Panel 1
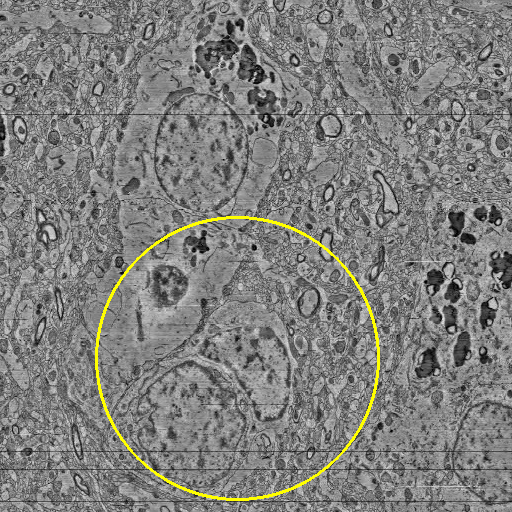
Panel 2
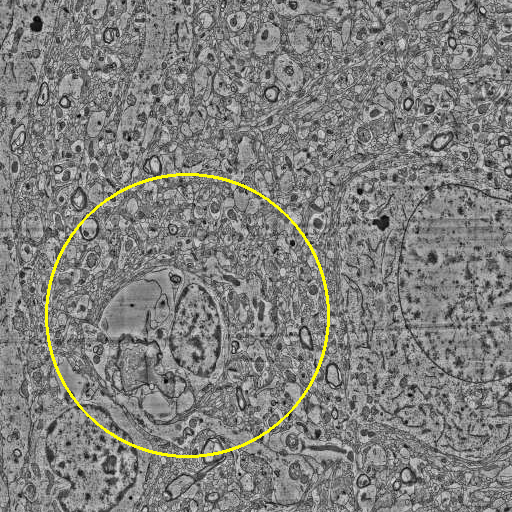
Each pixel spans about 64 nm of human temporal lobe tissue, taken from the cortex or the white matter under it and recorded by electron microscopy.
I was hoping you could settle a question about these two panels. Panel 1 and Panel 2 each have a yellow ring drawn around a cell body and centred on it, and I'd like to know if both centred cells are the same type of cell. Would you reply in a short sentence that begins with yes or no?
Yes, both are the same type of cell.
